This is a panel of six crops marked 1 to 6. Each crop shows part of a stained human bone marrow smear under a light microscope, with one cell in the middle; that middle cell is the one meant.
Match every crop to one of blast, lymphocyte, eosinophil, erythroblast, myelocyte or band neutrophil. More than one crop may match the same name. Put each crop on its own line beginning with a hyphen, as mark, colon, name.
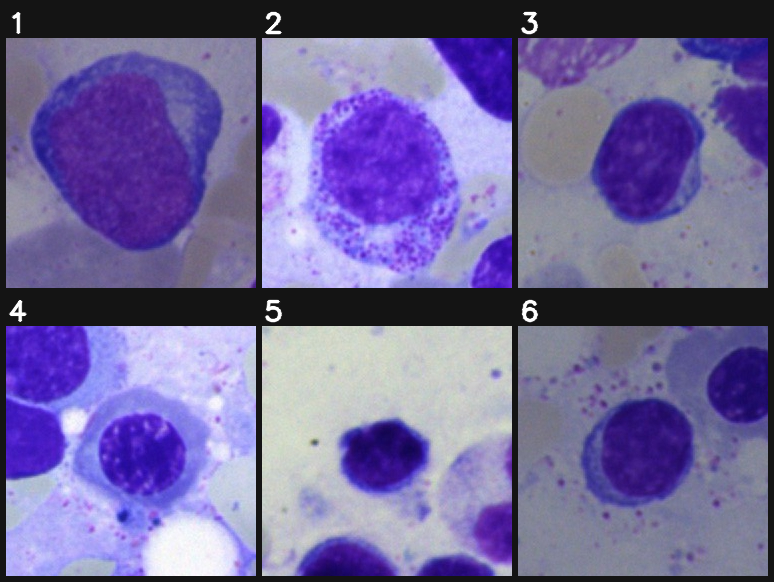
- 1: blast
- 2: myelocyte
- 3: lymphocyte
- 4: erythroblast
- 5: lymphocyte
- 6: lymphocyte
